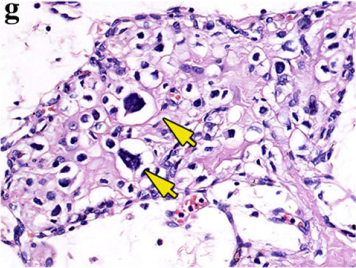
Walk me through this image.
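A nest of tumor cells lies in loose pale stroma, the cells rounded to polygonal with clear, pale, finely vacuolated cytoplasm and mostly small to medium round nuclei. Among them, two cells stand out with much larger, dark, irregular nuclei, each set in a clear halo of cytoplasm. A few red blood cells lie in small vessels at the edge of the nest, and pale empty spaces surround it. This is the picture of tumor cells with clear cytoplasm, with scattered giant tumor cells whose enlarged, hyperchromatic nuclei contrast sharply with the smaller nuclei of their neighbours.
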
